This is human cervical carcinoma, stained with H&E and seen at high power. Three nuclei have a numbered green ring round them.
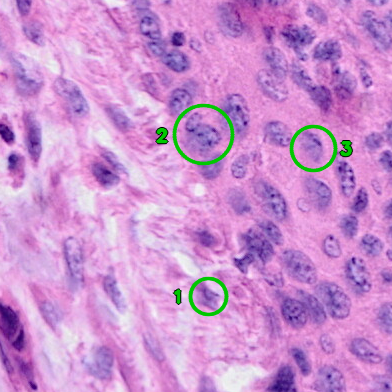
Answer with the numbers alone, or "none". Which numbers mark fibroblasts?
1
